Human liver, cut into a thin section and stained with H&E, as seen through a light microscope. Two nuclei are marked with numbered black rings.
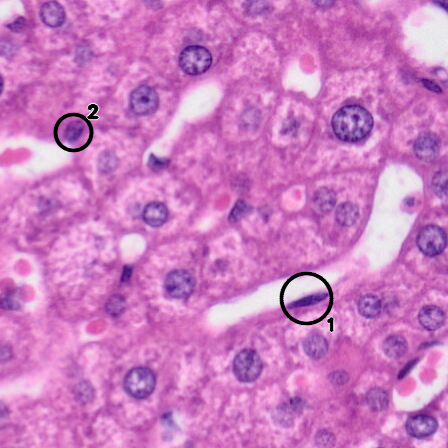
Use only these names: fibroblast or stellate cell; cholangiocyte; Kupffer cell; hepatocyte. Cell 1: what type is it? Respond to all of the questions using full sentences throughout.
The one labeled 1 is a Kupffer cell, to put it simply.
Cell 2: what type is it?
Among the marked cells, number 2 is a fibroblast or stellate cell.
